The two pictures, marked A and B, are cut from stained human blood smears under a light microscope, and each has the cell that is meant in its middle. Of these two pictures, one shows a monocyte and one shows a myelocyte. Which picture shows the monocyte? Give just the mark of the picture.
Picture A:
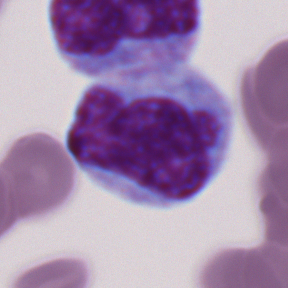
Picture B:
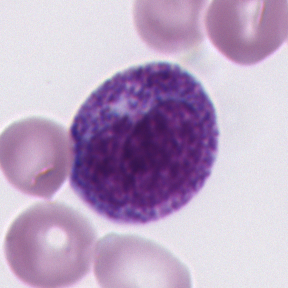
A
